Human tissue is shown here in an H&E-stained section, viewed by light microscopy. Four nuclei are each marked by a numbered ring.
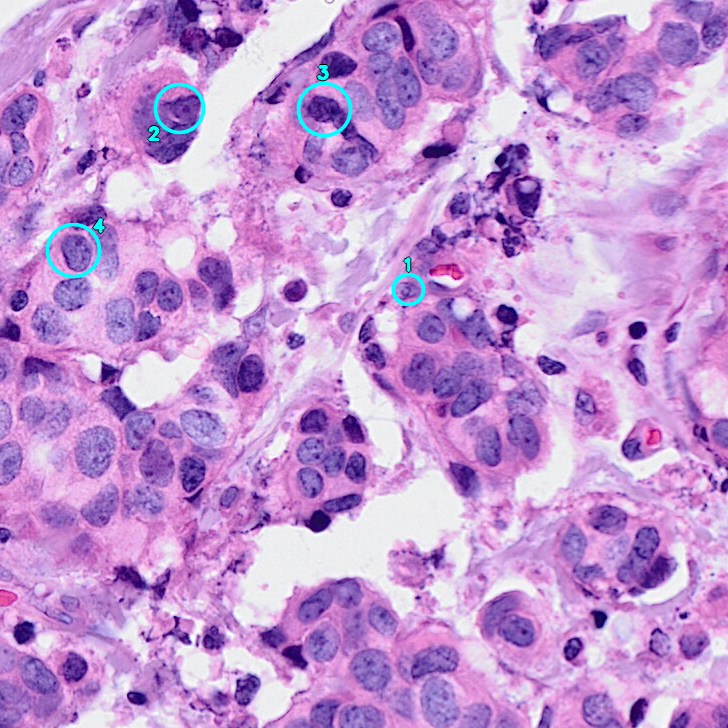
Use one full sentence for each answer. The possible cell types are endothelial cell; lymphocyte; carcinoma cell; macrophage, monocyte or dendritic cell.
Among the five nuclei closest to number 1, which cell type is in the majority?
Around number 1, most of the five nearest nuclei are those of endothelial cells.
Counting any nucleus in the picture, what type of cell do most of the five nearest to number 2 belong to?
Carcinoma cells make up most of the five nuclei closest to number 2.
